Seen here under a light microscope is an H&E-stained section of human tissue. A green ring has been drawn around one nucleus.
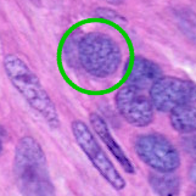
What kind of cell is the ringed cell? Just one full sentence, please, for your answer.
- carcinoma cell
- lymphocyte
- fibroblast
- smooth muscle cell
In this tissue section, the ringed cell is to be classed as a carcinoma cell.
